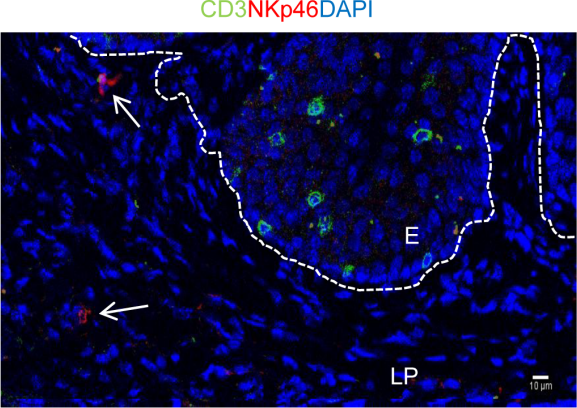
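The epithelium is a thick mass of tightly packed round blue nuclei, and scattered within it are several cells outlined by green rings. The lamina propria beneath has looser tissue with more elongated, spindle-shaped nuclei.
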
